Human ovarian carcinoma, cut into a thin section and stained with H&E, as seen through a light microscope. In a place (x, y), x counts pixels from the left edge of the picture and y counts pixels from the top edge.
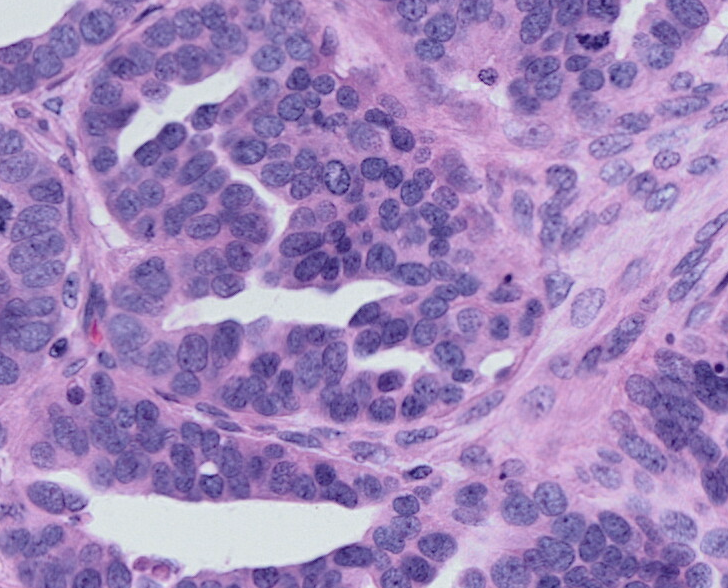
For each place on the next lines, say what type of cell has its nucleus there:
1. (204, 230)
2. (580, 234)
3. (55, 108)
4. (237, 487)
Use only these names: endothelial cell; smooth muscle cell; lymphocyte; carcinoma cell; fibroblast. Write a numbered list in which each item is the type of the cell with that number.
1. carcinoma cell
2. fibroblast
3. fibroblast
4. carcinoma cell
